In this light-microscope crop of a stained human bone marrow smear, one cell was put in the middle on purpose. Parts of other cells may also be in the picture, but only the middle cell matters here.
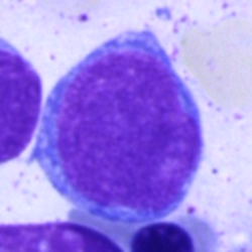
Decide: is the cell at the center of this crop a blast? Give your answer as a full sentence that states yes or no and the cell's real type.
Yes, this central cell is a blast.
